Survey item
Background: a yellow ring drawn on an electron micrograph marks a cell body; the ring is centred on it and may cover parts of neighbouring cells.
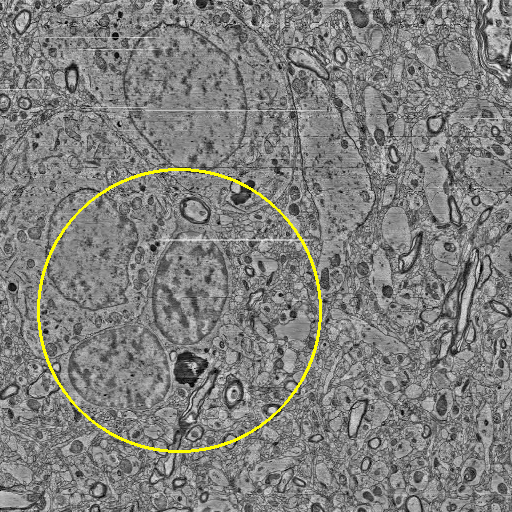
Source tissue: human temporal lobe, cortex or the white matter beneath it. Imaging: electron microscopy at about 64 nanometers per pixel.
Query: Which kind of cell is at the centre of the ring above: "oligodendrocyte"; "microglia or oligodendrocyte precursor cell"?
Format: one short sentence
The cell in the middle of the ring is an oligodendrocyte.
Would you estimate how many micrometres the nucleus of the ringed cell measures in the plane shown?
The nucleus measures about 7 by 5 micrometres in this plane.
